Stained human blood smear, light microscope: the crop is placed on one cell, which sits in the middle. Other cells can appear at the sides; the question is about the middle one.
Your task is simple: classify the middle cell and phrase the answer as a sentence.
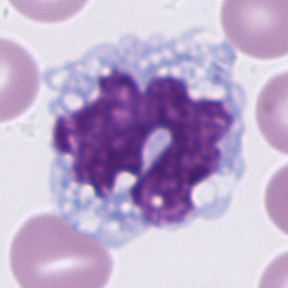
On this slide crop, the central cell is a monocyte.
